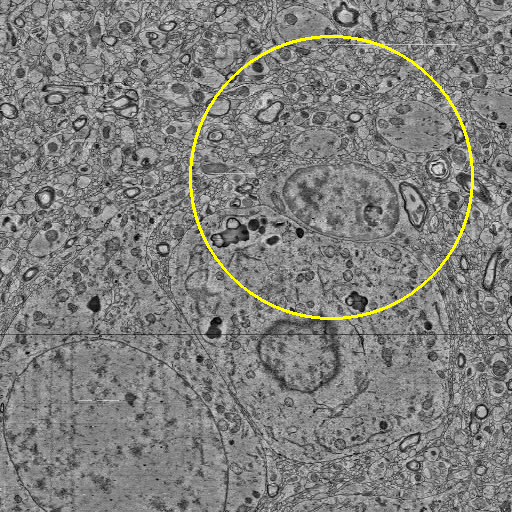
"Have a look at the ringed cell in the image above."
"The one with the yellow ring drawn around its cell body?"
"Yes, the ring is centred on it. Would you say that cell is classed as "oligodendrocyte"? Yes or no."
yes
